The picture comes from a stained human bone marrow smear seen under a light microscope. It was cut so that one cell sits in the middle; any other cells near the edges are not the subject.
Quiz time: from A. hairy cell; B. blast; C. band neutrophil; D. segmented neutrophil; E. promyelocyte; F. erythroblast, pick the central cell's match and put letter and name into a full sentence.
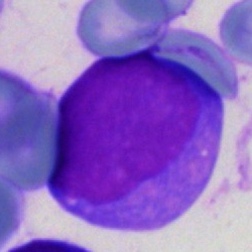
Here the right option is B, as the cell in the middle is a blast.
